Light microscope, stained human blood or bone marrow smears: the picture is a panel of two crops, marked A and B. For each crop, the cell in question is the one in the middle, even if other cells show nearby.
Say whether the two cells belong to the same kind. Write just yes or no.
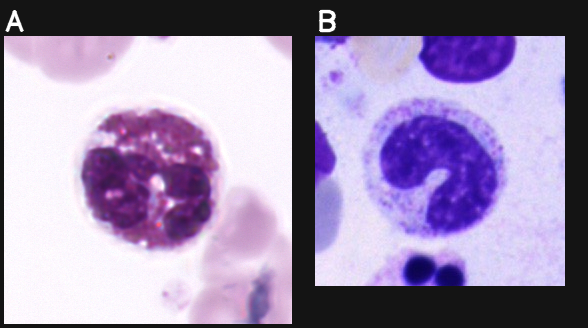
no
